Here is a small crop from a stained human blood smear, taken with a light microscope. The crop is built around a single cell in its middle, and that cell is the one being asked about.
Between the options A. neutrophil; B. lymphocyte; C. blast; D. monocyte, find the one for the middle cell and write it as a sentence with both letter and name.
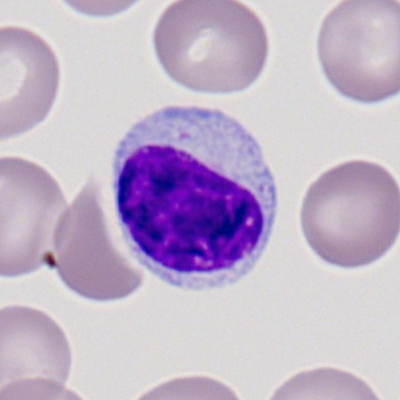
Option B is right, the centrally situated cell being a lymphocyte.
